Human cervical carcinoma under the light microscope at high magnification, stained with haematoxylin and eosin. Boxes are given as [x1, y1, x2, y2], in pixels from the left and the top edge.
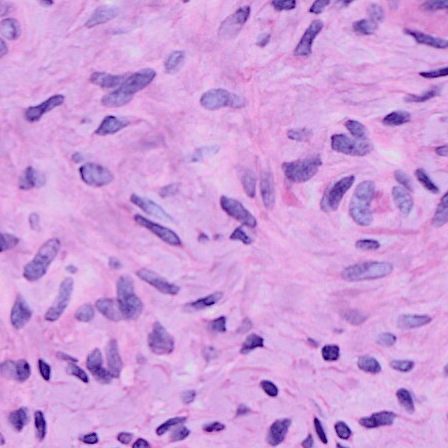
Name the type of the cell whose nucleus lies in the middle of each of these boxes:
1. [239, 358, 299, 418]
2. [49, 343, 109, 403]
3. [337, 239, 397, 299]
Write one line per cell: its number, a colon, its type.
1: fibroblast
2: fibroblast
3: smooth muscle cell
